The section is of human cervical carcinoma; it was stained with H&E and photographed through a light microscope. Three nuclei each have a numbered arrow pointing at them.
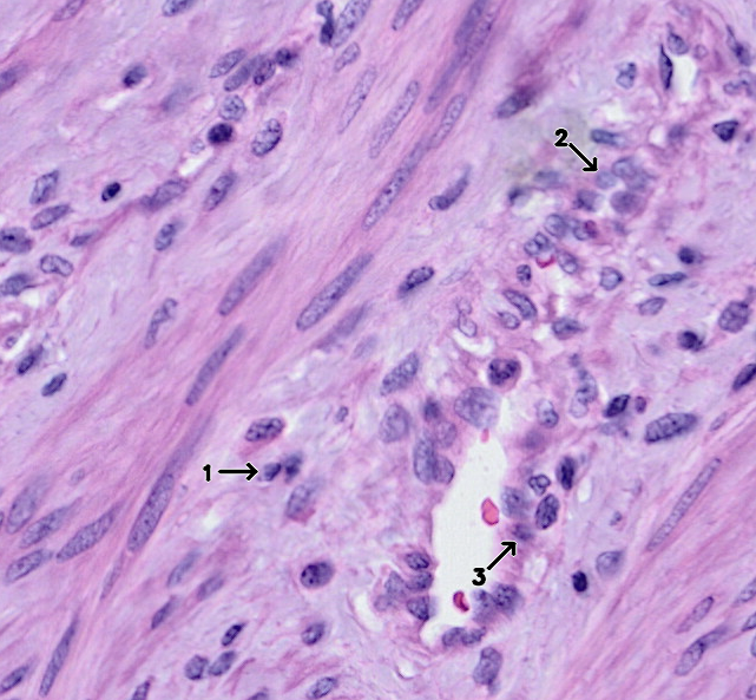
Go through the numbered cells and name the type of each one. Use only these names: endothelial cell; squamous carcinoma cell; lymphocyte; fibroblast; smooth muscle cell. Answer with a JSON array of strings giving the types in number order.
["lymphocyte", "endothelial cell", "endothelial cell"]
